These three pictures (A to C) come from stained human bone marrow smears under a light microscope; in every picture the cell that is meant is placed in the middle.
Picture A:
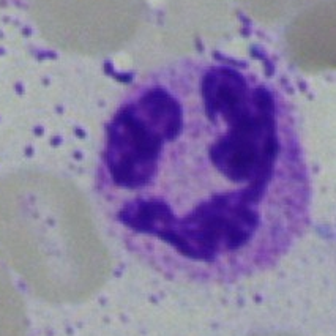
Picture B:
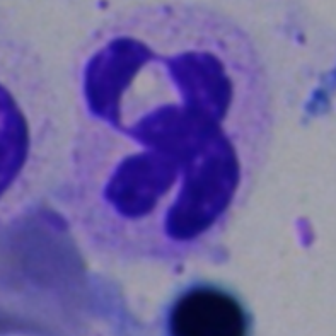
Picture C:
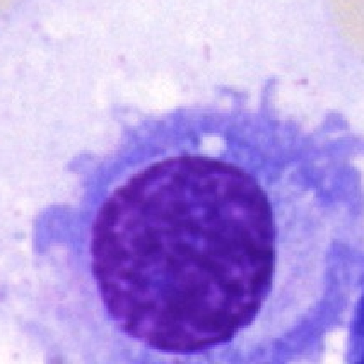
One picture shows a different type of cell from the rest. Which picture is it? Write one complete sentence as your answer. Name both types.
The different one is picture C; it shows a plasma cell, whereas all the others show segmented neutrophils.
